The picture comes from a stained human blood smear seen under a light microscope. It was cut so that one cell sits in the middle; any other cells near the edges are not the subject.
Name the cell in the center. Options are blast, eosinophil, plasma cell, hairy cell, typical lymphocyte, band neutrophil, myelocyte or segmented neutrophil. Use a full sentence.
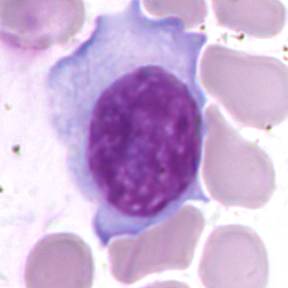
At the center of the crop sits a plasma cell.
